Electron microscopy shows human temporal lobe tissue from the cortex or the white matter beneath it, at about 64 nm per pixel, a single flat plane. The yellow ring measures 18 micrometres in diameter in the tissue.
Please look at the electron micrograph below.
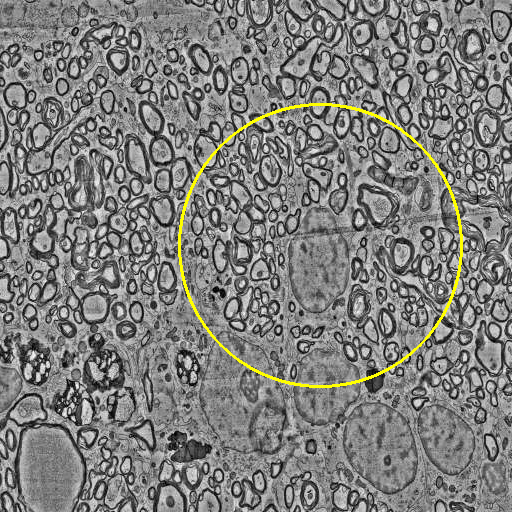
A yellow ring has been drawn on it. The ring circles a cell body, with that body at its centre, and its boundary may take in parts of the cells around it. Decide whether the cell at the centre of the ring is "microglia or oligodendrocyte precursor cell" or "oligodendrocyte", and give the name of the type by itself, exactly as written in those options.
oligodendrocyte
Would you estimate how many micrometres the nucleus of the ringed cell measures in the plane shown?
About 7 by 4 micrometres in this plane.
